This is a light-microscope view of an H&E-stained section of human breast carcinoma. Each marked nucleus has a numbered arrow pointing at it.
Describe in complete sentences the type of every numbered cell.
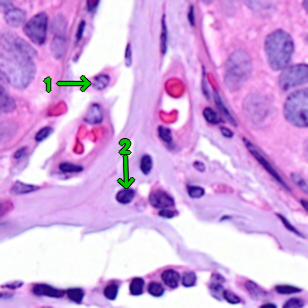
Cell 1 is a mast cell. Cell 2 is a lymphocyte.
